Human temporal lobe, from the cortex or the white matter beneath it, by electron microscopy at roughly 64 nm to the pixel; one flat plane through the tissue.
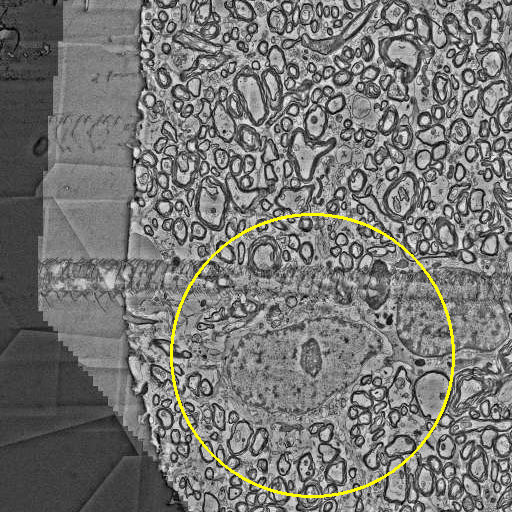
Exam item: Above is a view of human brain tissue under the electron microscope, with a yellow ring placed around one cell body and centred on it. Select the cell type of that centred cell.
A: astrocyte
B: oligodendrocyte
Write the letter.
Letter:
A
